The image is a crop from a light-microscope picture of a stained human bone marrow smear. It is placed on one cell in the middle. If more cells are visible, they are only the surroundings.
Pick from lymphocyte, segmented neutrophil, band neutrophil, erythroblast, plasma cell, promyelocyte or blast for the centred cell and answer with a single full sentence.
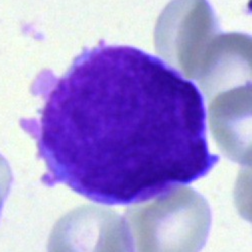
The cell nearest the centre of this crop is a blast.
